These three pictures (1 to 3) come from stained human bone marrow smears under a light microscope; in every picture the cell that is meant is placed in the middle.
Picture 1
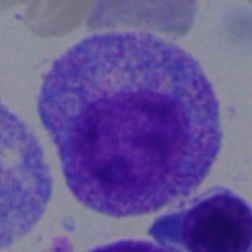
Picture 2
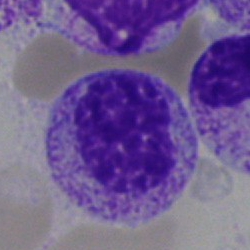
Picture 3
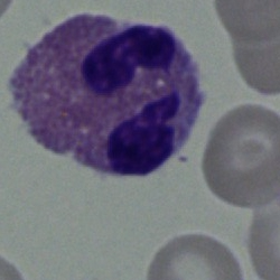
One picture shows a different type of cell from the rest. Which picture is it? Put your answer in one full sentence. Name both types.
The different one is picture 3; it shows an eosinophil, whereas all the others show myelocytes.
